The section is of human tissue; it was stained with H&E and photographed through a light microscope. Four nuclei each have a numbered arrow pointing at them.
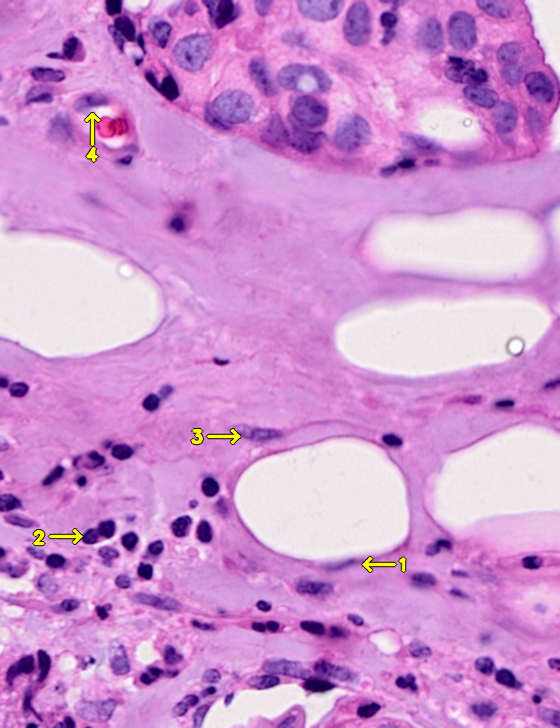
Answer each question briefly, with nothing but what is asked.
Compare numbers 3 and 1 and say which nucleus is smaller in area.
1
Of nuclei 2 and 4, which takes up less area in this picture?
2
